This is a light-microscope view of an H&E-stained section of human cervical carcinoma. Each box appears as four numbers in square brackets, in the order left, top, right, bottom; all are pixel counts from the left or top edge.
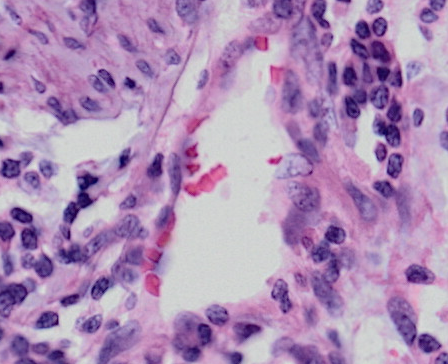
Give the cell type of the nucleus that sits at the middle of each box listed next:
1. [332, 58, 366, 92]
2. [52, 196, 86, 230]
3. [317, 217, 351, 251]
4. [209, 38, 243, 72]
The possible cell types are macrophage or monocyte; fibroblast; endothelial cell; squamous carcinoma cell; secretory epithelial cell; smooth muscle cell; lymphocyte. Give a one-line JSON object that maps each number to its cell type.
{"1": "lymphocyte", "2": "lymphocyte", "3": "lymphocyte", "4": "endothelial cell"}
